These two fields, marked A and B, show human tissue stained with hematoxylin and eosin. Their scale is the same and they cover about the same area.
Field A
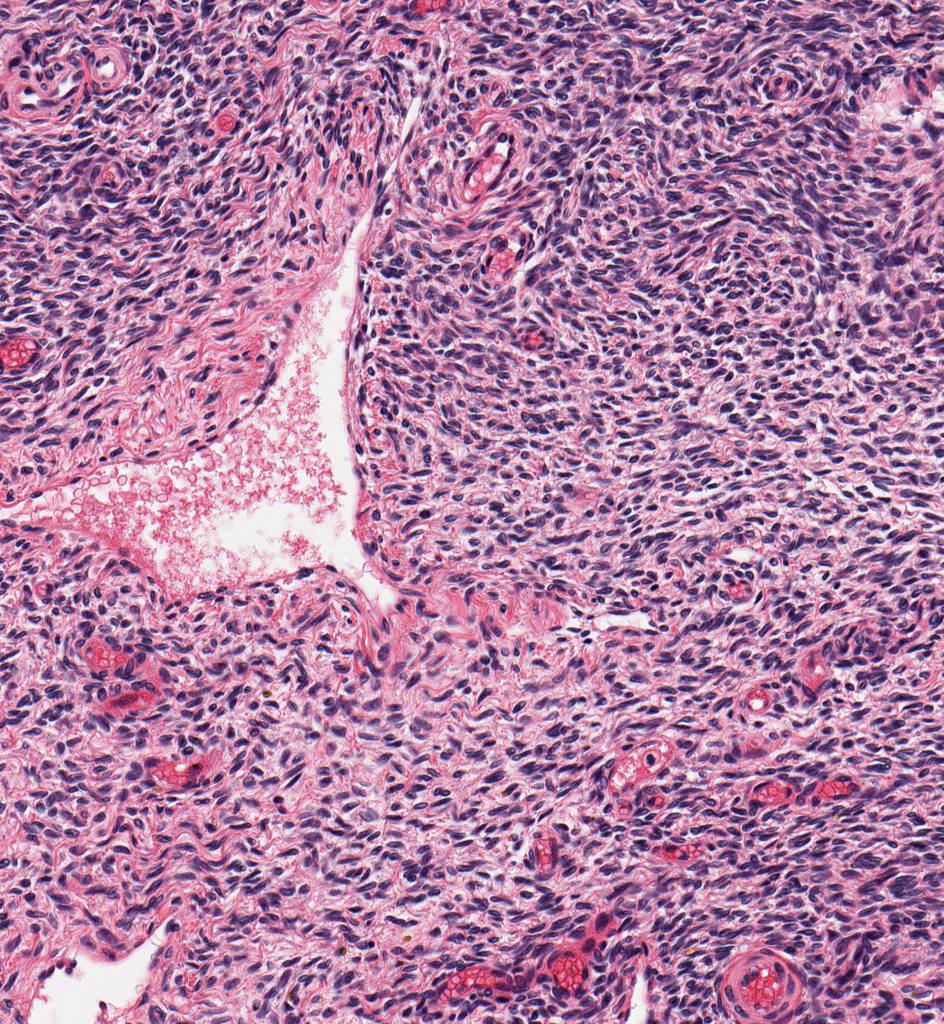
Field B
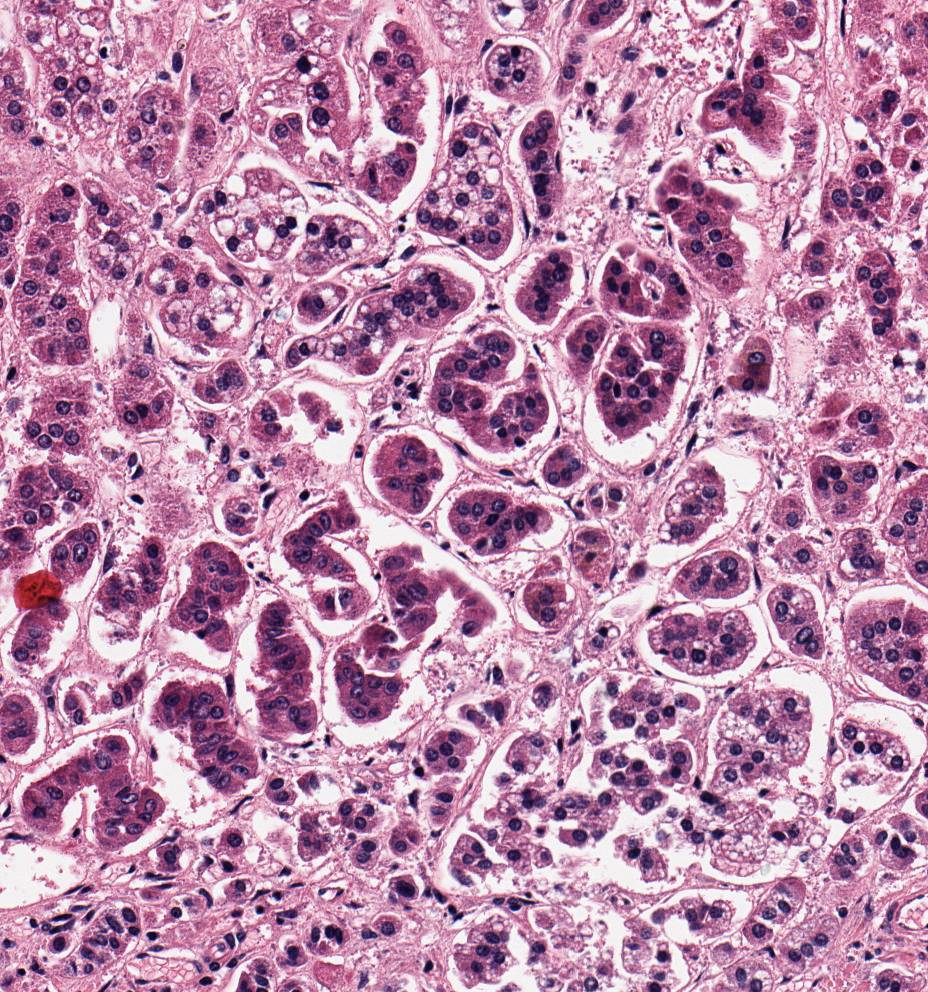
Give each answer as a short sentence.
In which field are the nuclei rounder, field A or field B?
The nuclei are rounder in field B.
